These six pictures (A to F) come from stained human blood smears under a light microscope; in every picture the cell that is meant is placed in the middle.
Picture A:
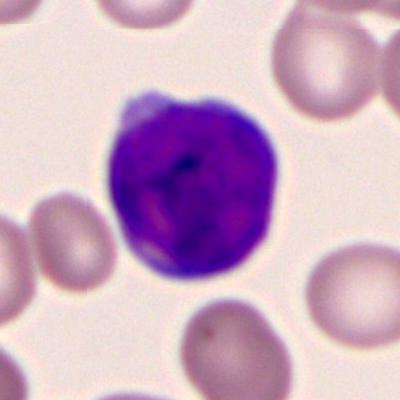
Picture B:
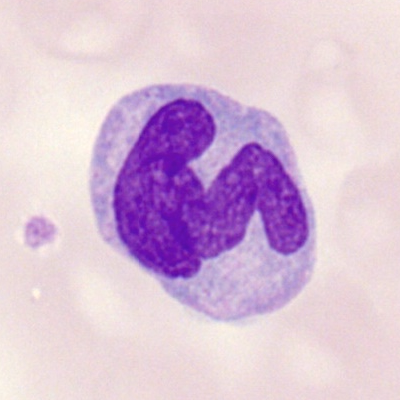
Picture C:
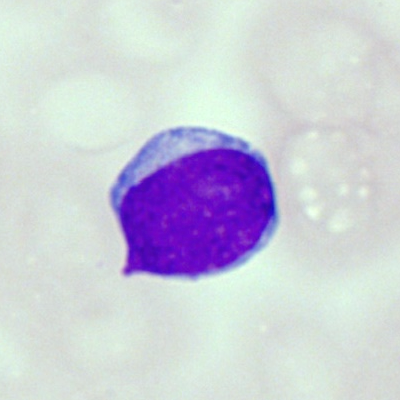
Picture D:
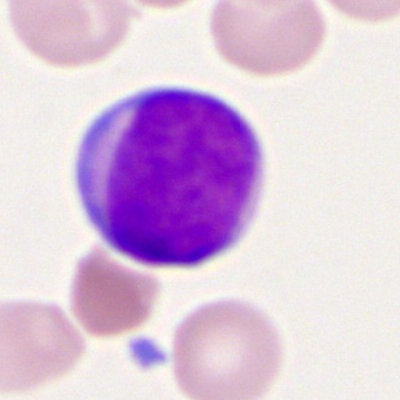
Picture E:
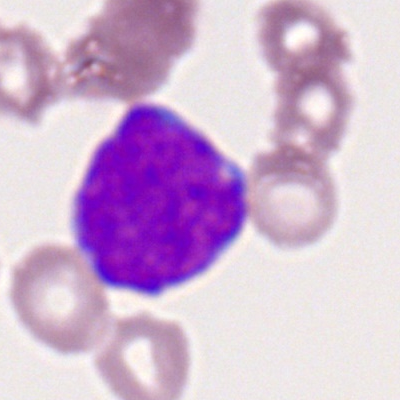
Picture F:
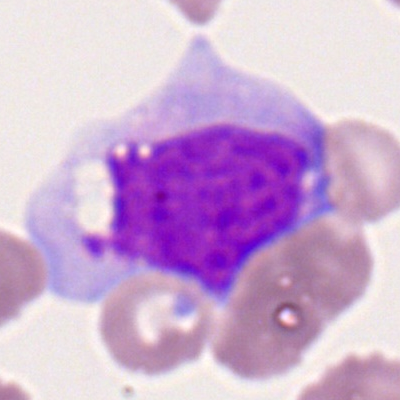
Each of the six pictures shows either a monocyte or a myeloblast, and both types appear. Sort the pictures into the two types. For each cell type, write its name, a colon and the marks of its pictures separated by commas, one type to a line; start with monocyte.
monocyte: B, F
myeloblast: A, C, D, E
